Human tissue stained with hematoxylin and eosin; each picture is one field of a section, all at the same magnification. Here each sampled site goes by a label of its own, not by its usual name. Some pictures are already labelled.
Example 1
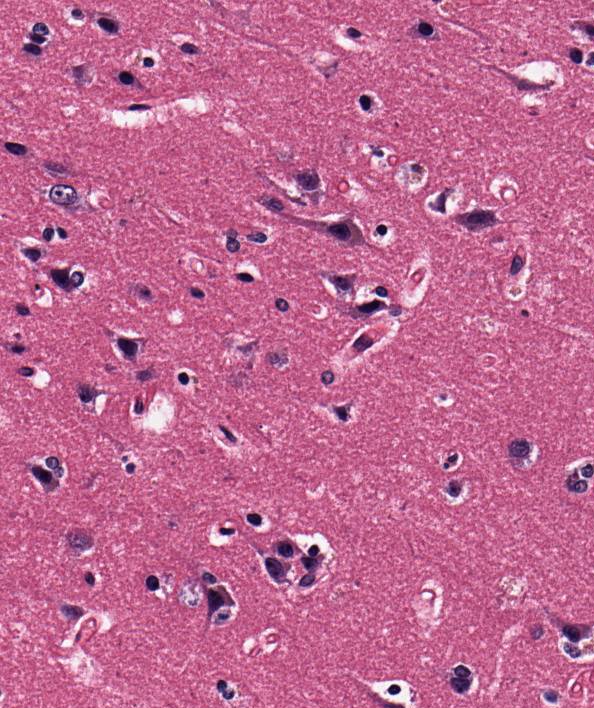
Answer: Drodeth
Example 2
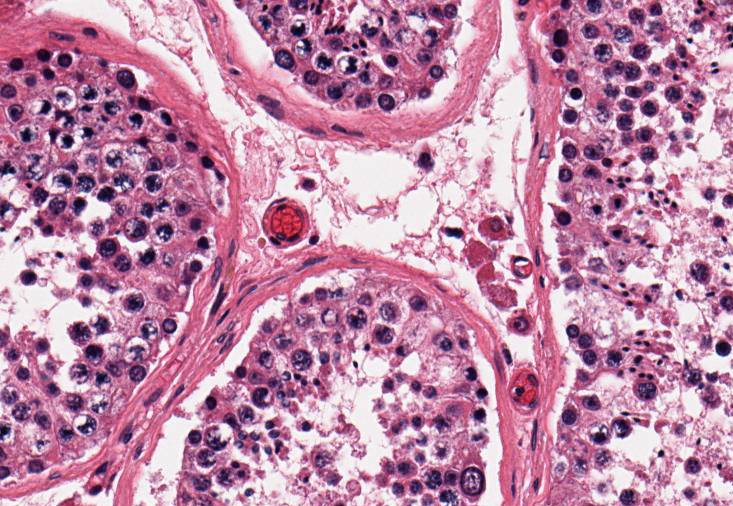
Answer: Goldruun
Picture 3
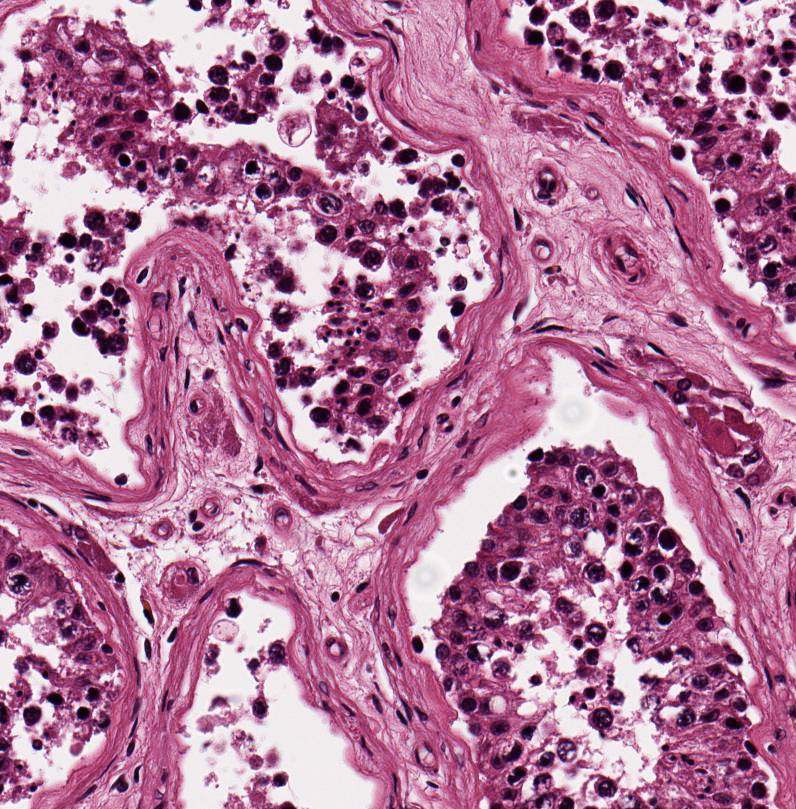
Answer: Goldruun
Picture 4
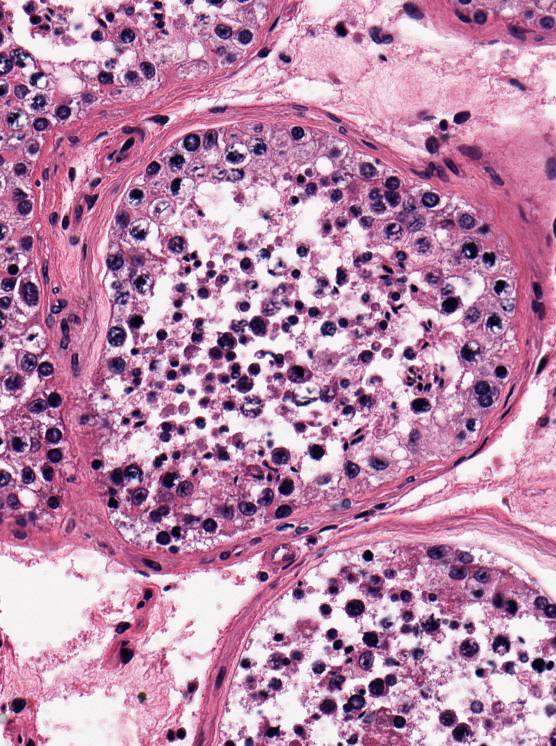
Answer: Goldruun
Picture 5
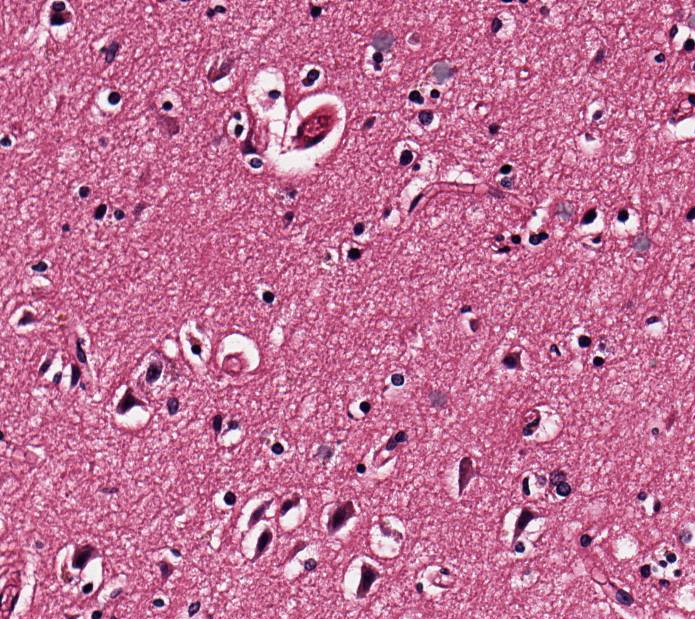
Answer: Drodeth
